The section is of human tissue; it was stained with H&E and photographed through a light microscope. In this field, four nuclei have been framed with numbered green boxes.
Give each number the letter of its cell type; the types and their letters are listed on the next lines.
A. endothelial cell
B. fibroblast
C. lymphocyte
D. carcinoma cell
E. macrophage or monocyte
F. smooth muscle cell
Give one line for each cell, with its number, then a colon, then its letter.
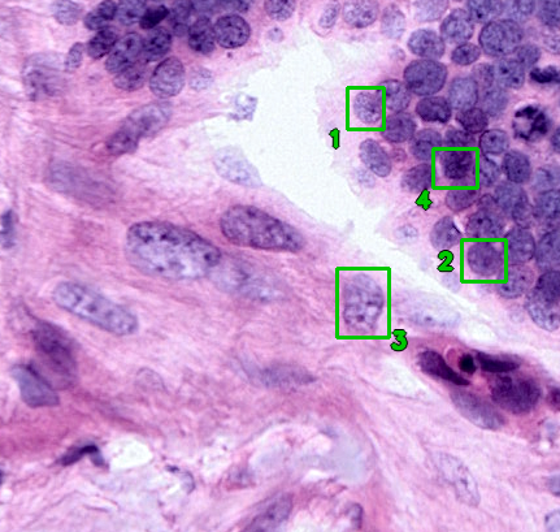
1: D
2: D
3: B
4: D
